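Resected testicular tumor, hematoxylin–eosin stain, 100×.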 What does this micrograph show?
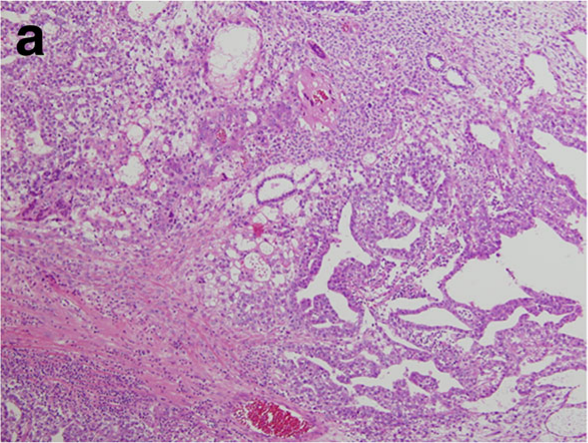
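In the upper left the tissue turns into a loose meshwork of small vacuoles and cysts. A pink fibrous band and congested blood vessels with red cells run along the lower left.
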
